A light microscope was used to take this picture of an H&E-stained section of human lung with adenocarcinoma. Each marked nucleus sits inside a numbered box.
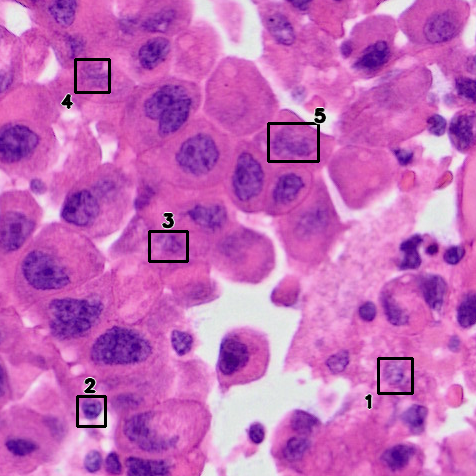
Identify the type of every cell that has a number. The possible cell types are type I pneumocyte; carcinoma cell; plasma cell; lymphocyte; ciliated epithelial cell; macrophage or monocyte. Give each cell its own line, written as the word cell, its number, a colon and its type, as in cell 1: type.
cell 1: macrophage or monocyte
cell 2: lymphocyte
cell 3: carcinoma cell
cell 4: carcinoma cell
cell 5: carcinoma cell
